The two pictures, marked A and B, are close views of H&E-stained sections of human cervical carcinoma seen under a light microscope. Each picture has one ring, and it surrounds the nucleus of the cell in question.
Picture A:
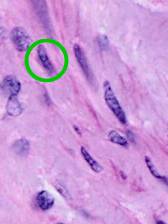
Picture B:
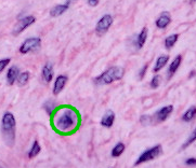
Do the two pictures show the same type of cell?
yes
